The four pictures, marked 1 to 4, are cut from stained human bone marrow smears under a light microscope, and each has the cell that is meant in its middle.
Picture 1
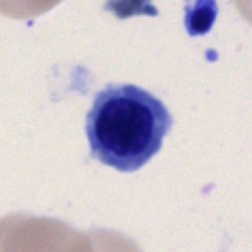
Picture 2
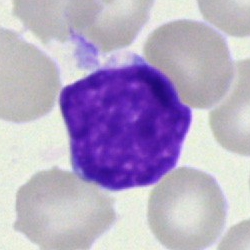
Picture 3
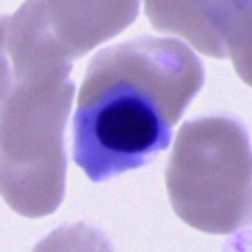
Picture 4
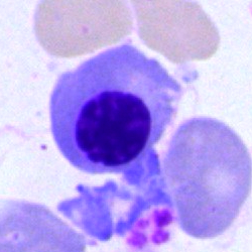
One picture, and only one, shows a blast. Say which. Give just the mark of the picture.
2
